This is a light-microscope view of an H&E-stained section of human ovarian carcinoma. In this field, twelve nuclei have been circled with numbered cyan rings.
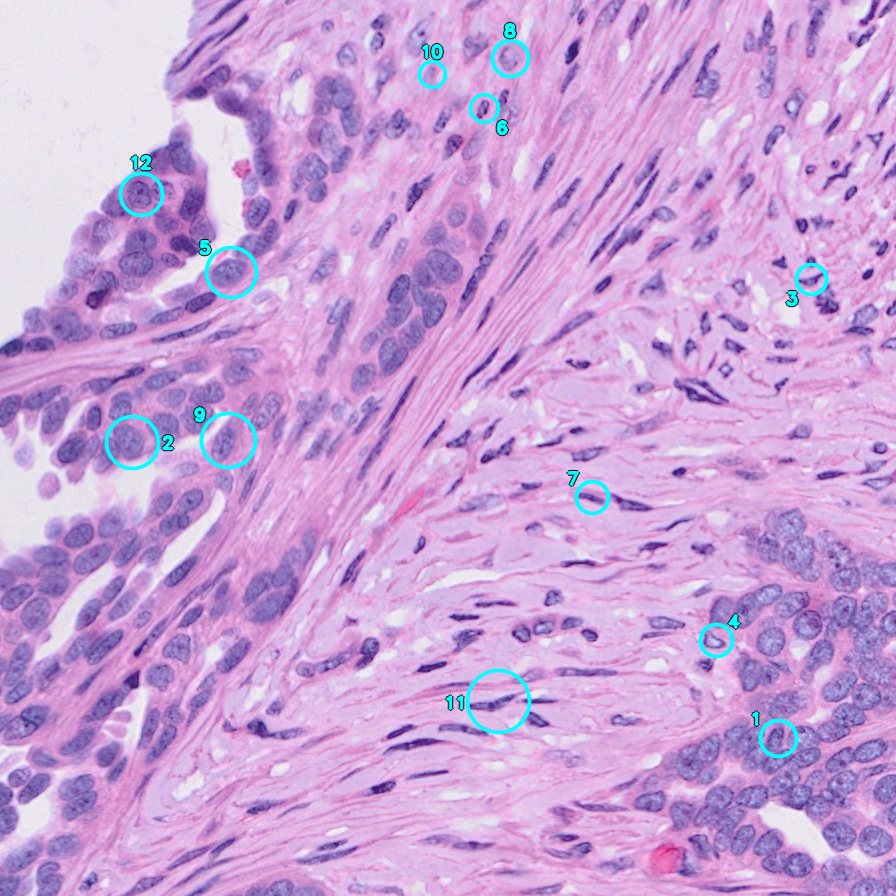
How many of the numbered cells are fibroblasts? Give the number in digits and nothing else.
6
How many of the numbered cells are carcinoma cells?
5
